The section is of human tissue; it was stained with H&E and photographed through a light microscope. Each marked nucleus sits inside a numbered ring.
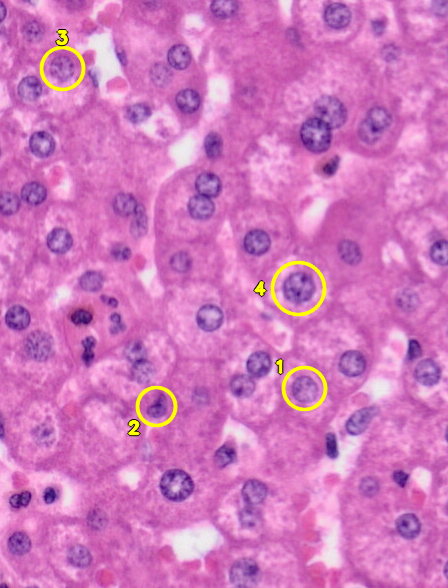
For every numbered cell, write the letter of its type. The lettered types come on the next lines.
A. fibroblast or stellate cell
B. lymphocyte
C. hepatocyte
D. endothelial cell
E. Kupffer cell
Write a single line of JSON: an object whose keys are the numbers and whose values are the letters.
{"1": "C", "2": "D", "3": "C", "4": "C"}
